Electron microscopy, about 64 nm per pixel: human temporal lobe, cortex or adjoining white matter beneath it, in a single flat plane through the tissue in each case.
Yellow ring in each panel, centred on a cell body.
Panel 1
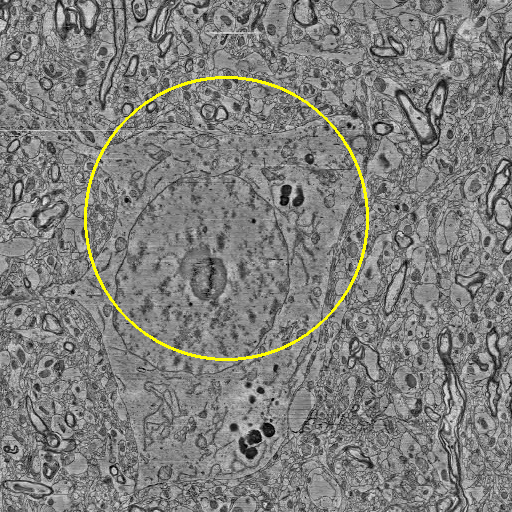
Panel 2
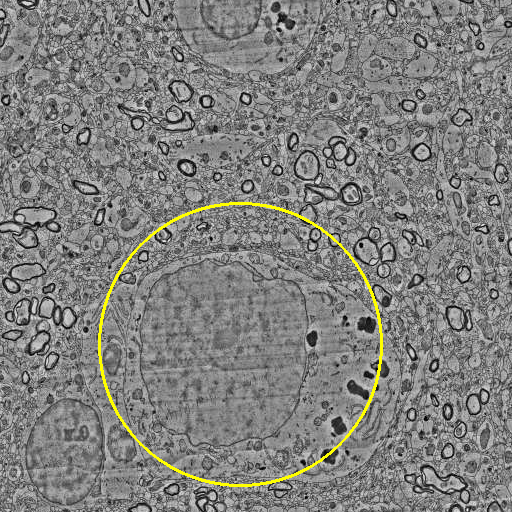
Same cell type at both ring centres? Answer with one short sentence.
Yes, both cells are of the same type.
